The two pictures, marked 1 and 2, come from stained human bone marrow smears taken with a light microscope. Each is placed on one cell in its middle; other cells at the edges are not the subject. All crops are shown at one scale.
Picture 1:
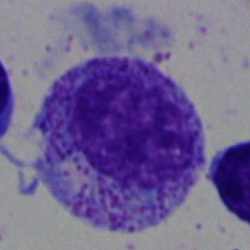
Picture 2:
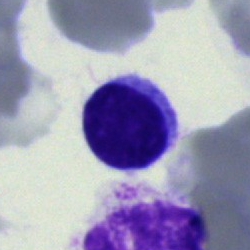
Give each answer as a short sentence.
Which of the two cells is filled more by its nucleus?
Of the two, the nucleus in picture 2 makes up the greater part of its cell.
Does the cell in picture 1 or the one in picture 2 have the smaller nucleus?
It is the nucleus in picture 2; the one in picture 1 has about 2 times its area.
